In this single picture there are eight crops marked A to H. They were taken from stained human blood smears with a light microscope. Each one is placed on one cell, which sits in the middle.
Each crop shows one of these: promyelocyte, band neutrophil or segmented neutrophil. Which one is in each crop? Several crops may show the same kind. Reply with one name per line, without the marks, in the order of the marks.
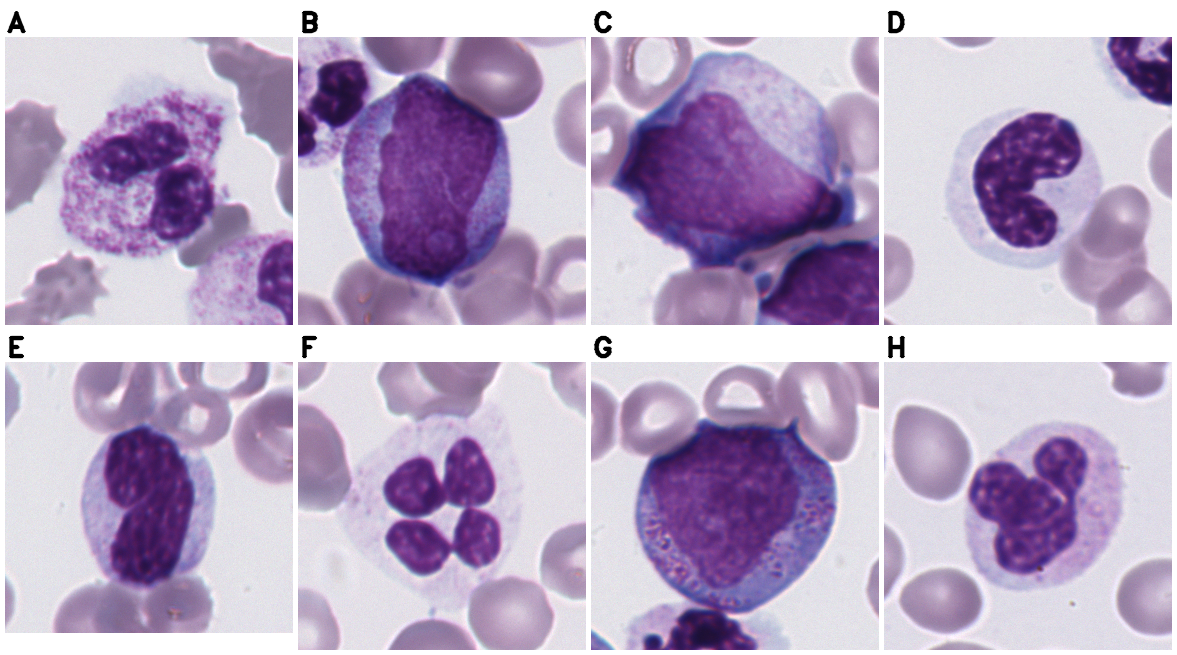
segmented neutrophil
promyelocyte
promyelocyte
band neutrophil
band neutrophil
segmented neutrophil
promyelocyte
segmented neutrophil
